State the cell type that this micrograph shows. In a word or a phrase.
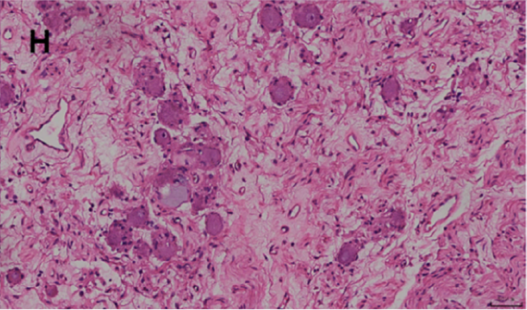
Ganglion cells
